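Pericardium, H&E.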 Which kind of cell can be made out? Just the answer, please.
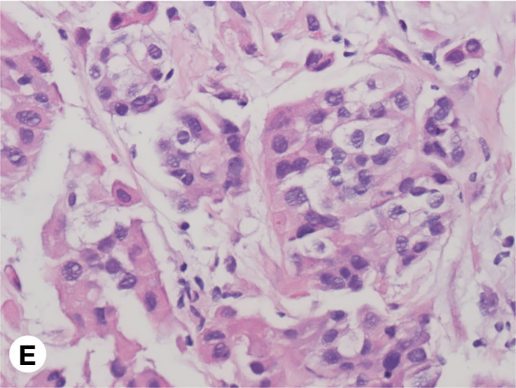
eosinophilic epithelioid cells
